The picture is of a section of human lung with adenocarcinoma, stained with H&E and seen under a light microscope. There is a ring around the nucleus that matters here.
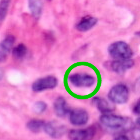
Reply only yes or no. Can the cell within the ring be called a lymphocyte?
yes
